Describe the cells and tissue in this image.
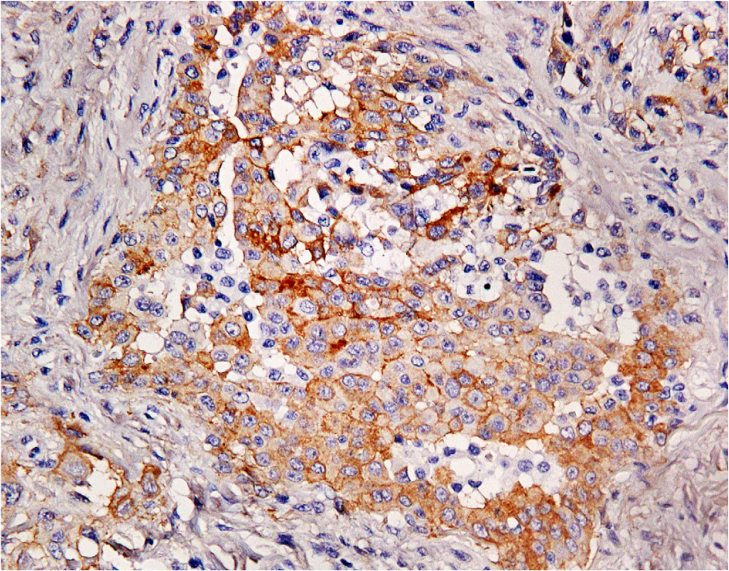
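The tumour cells are polygonal with round to oval nuclei, fine chromatin and visible nucleoli, and their cytoplasm carries a patchy, granular brown stain that is stronger in some areas and at some cell borders. Irregular clear spaces and clefts lie among the tumour cells, while the spindle-shaped stromal cells around the sheet stay blue and unstained.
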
